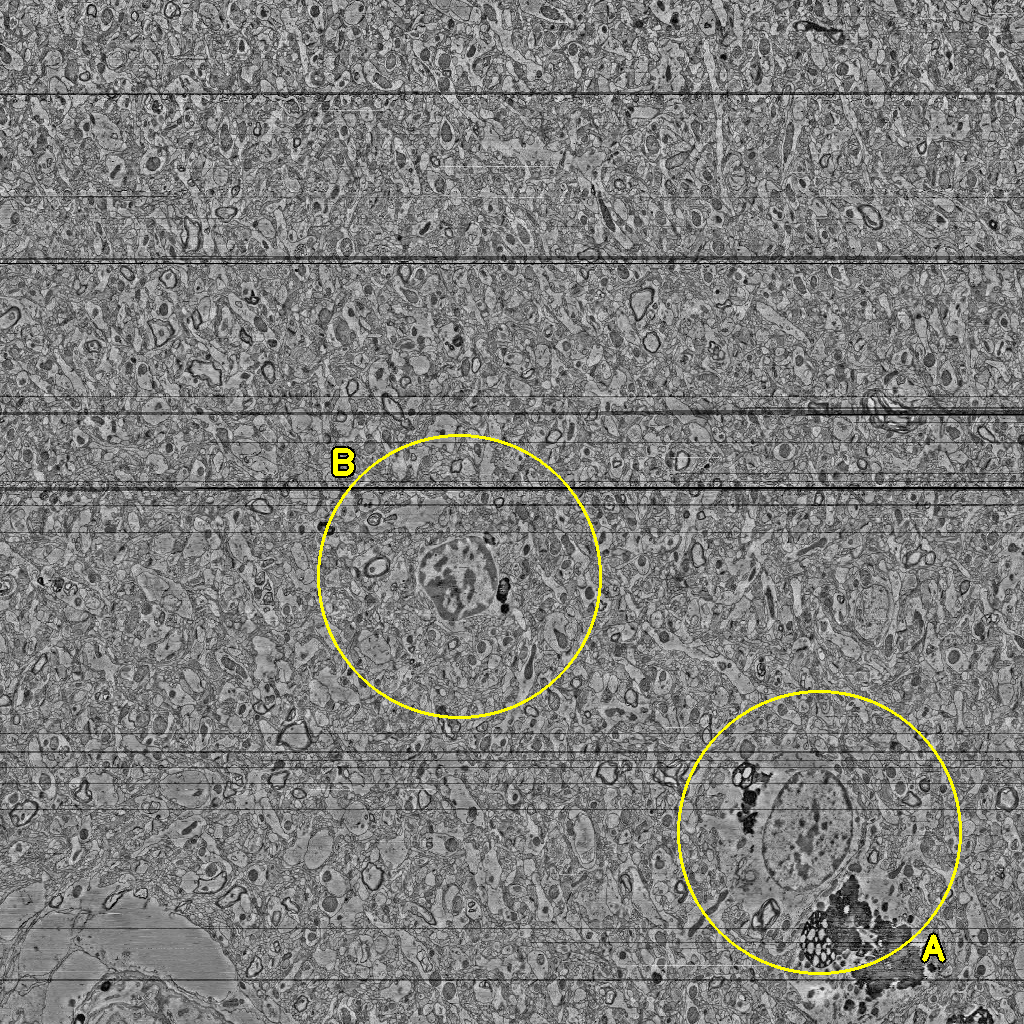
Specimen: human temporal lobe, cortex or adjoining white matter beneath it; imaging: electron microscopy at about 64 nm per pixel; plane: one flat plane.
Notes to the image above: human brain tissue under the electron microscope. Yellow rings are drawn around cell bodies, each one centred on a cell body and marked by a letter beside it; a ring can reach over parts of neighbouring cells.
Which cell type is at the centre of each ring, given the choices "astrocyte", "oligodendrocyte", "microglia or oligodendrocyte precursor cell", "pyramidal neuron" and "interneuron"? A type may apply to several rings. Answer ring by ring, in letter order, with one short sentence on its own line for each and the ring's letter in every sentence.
Inside ring A, at its centre, is an astrocyte.
Inside ring B, at its centre, is a microglial cell or oligodendrocyte precursor cell.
